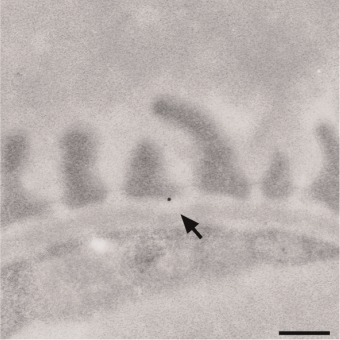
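This shows mature podocyte foot processes in a kidney glomerulus: a row of dark, finger-like processes stands side by side on a pale, layered glomerular basement membrane, separated by narrow slits. A single black gold particle, marked by the arrow, lies at the base of one foot process close to the basement membrane.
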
